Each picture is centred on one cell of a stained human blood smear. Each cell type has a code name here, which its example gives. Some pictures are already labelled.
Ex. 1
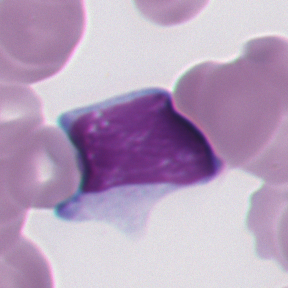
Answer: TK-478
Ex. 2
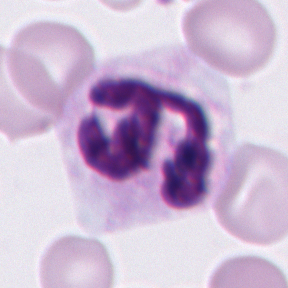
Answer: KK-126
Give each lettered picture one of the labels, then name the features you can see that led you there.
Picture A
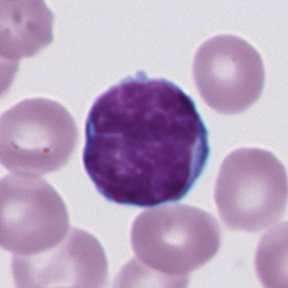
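Answer: TK-478. The cytoplasm forms a thin rim that is widest on the right side.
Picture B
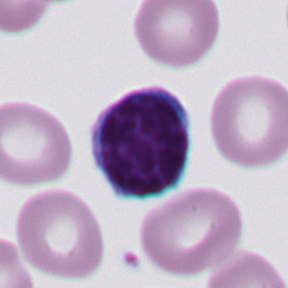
Answer: TK-478. The cytoplasm is only a very thin pale bluish rim at the edge of the cell.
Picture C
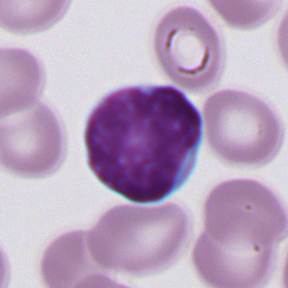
Answer: TK-478. The cytoplasm is only a thin rim that is widest at the lower right.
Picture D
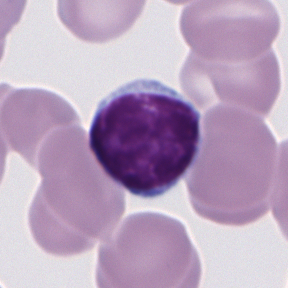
Answer: TK-478. The cytoplasm forms only a thin rim around the nucleus.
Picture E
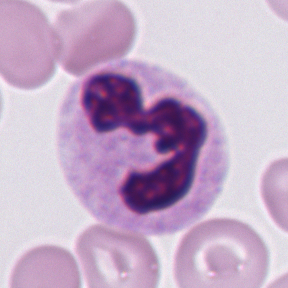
Answer: KK-126. The nucleus forms one continuous curved band with broad connections between its parts.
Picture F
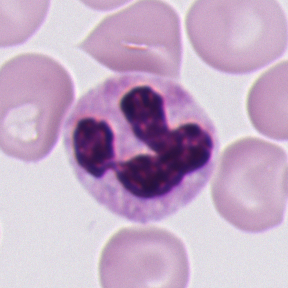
Answer: KK-126. The cytoplasm is plentiful and pale pinkish-lilac.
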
